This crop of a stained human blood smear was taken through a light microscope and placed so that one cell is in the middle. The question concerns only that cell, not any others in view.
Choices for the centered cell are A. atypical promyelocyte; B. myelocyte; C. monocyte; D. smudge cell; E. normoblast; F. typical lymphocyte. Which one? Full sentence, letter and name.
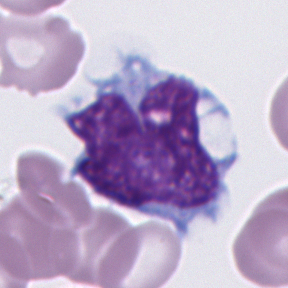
What sits in the middle of the crop is a monocyte, and option C is correct.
